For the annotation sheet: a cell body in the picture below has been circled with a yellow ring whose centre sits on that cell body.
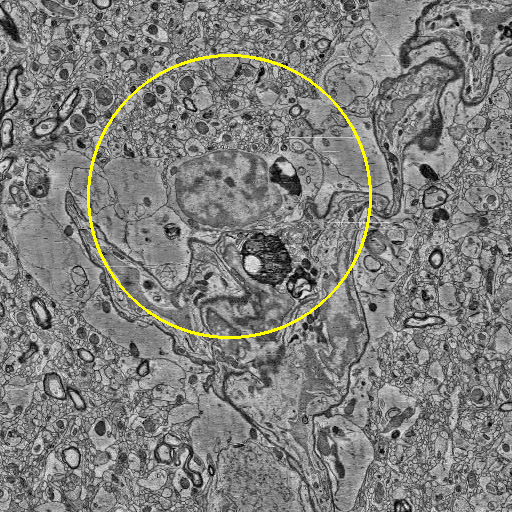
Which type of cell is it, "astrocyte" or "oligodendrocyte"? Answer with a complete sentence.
The circled cell is an oligodendrocyte.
